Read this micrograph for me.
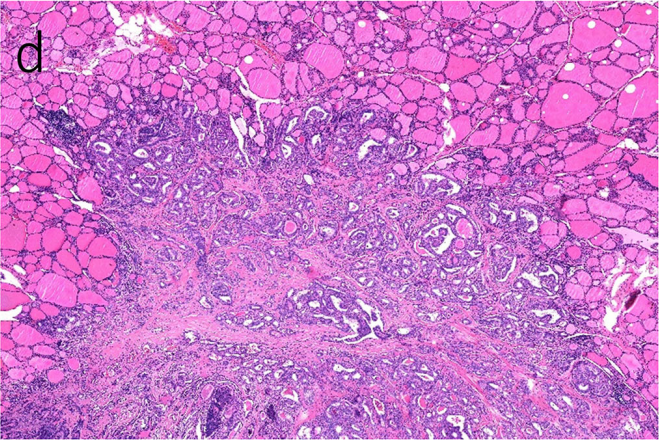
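Crowded tumor cells with dark purple nuclei form small glands and papillary structures that lie within a pink fibrous stroma. Above, normal follicles filled with pink colloid border the tumor, and the boundary between them is ragged, with tumor groups extending between follicles. Small dark clusters of lymphocytes are scattered near the edge. This is infiltrative tumor growth with irregular margins and no capsule.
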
